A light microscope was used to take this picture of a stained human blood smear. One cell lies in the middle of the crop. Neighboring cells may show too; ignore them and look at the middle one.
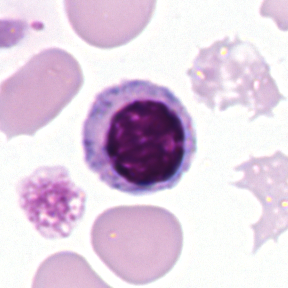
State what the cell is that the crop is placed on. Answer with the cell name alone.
normoblast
